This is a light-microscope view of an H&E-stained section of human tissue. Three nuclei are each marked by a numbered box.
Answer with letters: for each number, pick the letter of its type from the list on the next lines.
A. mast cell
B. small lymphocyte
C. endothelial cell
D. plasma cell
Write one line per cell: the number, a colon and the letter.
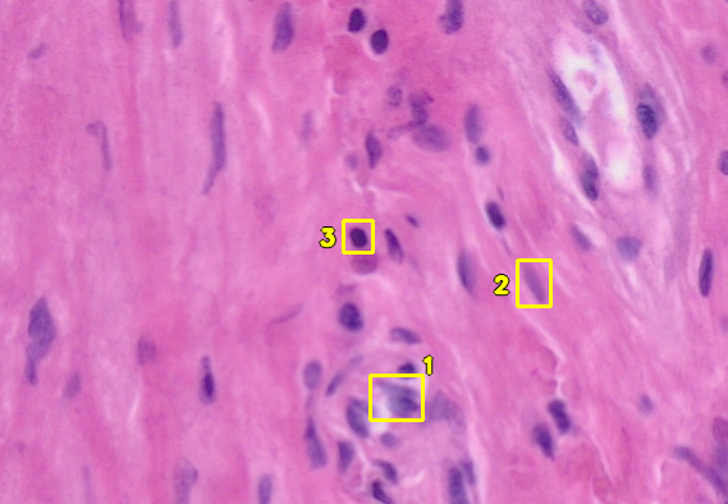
1: C
2: C
3: A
